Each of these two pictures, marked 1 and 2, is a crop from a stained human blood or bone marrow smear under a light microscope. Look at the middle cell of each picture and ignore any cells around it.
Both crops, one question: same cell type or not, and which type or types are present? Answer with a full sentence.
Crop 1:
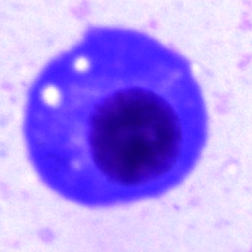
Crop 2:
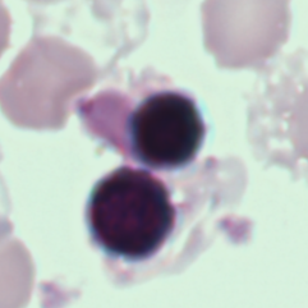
No, crop 1 contains a plasma cell, and crop 2 contains an erythroblast.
